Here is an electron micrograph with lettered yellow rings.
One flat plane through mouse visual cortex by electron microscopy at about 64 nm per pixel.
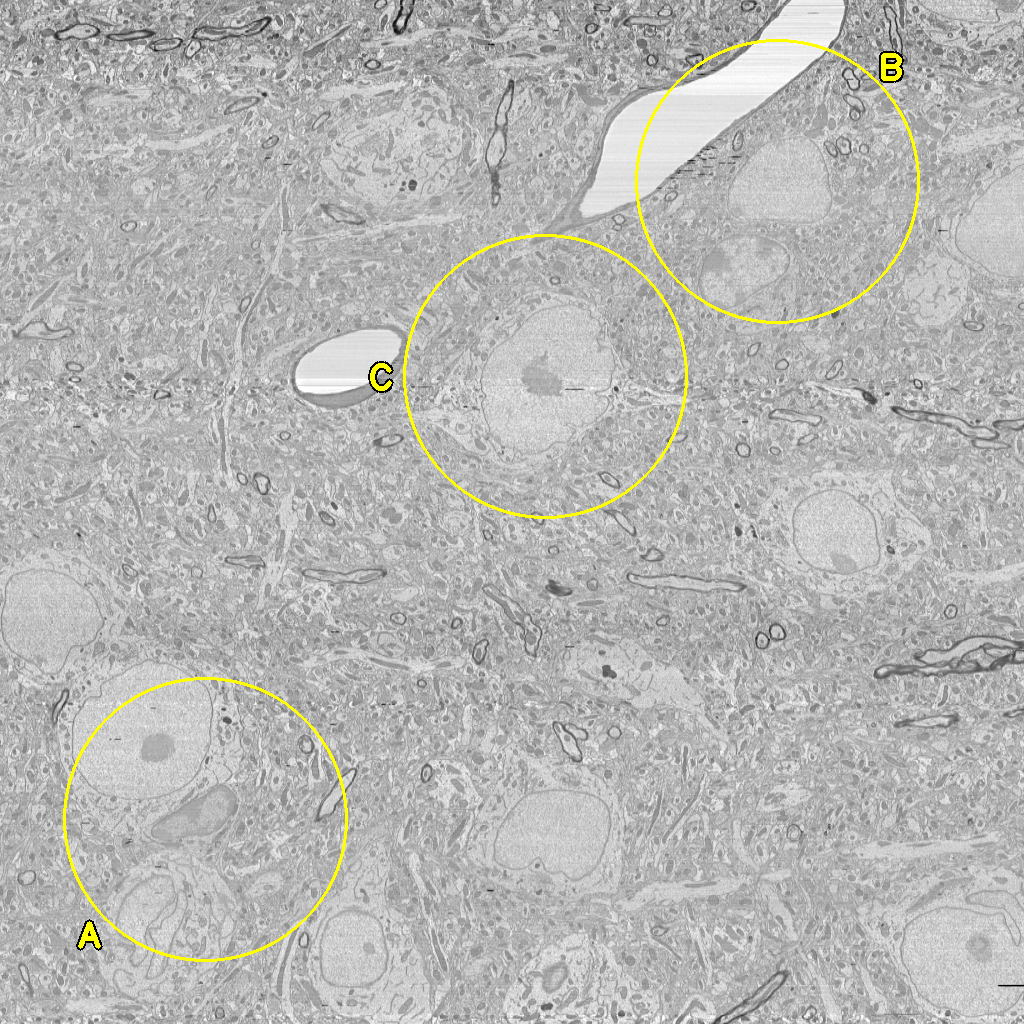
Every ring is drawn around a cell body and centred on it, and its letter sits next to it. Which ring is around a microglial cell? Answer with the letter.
A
